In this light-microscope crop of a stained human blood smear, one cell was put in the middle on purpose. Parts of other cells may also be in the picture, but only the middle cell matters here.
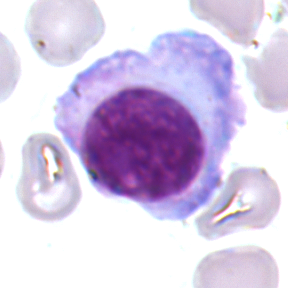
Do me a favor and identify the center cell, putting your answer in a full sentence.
Present in the middle of the crop is a plasma cell.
